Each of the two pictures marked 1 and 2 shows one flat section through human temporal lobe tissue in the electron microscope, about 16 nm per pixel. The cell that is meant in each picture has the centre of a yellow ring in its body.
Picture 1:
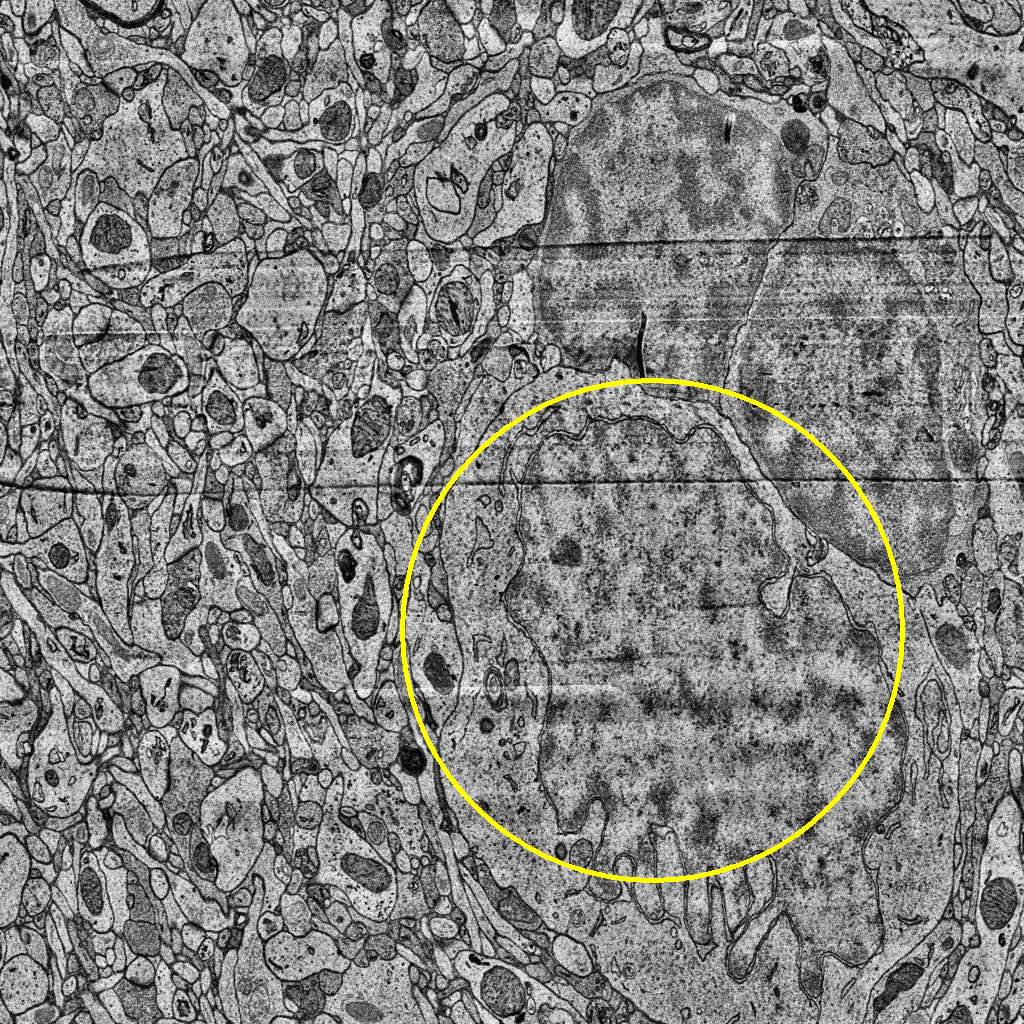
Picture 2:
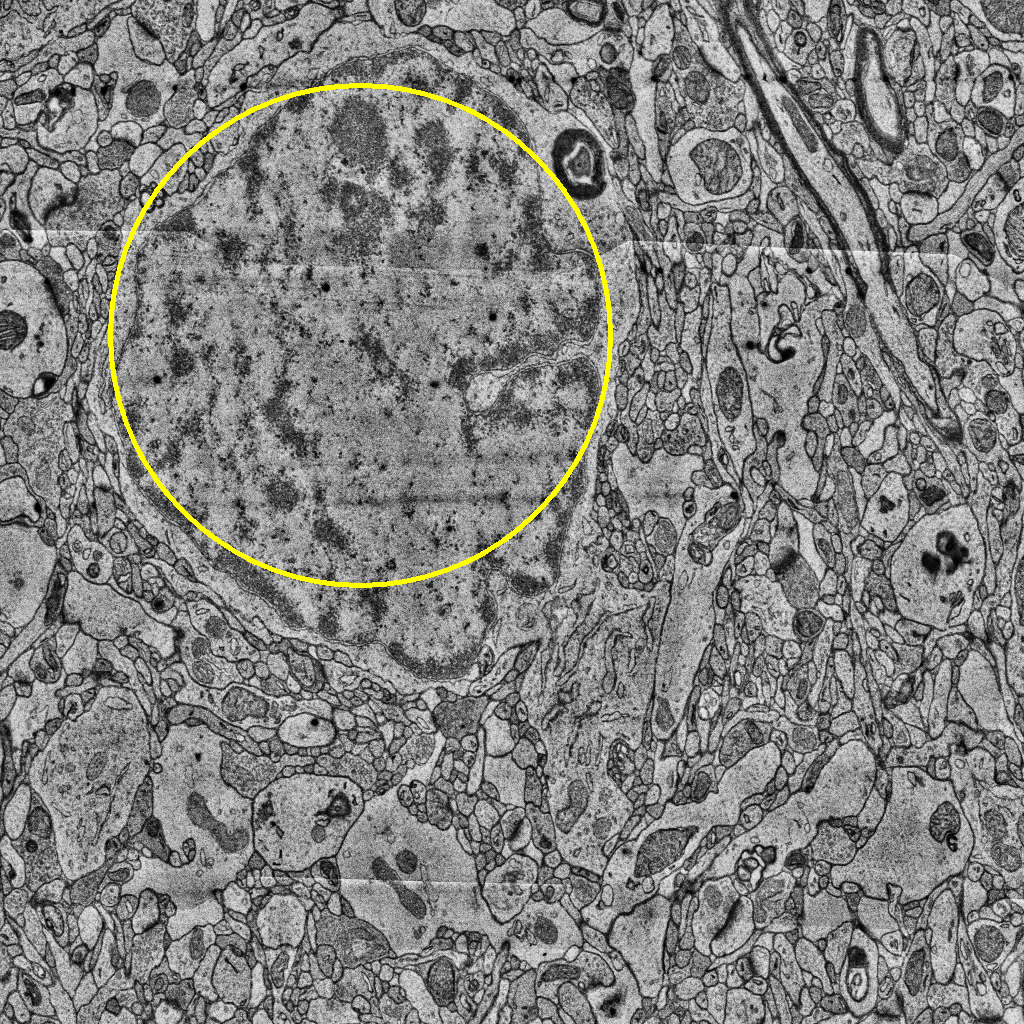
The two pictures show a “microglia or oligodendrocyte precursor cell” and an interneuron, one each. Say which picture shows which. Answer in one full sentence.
Picture 1 is of an interneuron, and picture 2 is of a “microglia or oligodendrocyte precursor cell”.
